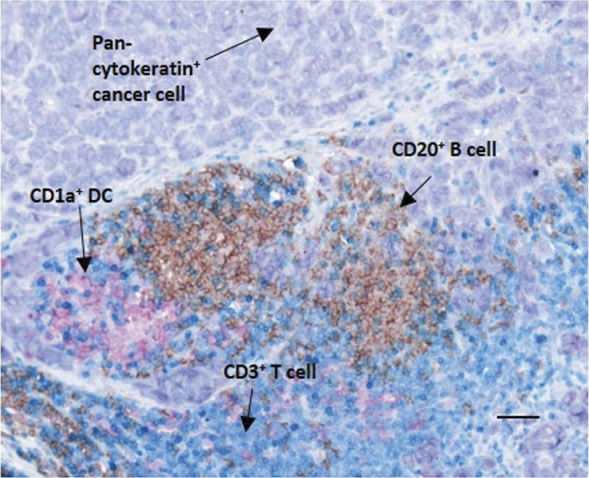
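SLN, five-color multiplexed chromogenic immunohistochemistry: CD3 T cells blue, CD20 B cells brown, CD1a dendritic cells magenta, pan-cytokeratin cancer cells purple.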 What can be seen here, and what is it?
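The upper part is a solid sheet of large, closely packed, pale purple polygonal cells with round nuclei. Below it lie clusters of small brown-stained lymphocytes, bordered by small blue-stained lymphocytes. A group of irregular magenta cells sits at the left edge of the brown clusters.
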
